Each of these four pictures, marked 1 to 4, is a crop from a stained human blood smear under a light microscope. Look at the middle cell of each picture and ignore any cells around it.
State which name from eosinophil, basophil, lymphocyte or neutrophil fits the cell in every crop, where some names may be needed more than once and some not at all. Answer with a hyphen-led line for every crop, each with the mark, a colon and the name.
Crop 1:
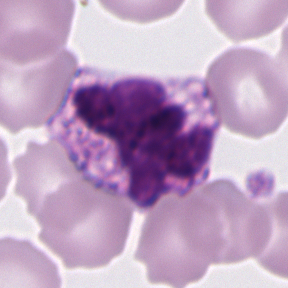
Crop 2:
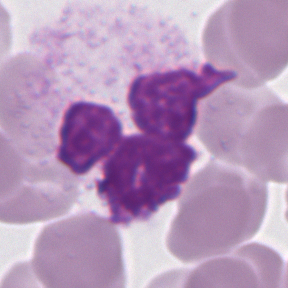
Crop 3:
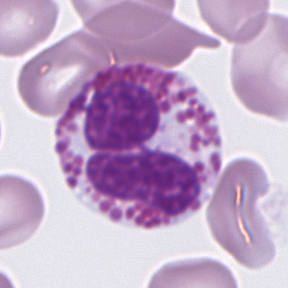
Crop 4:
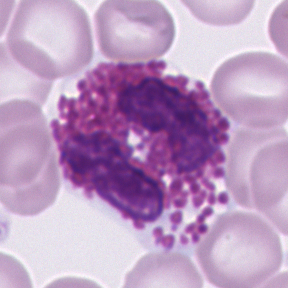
- 1: basophil
- 2: neutrophil
- 3: eosinophil
- 4: eosinophil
